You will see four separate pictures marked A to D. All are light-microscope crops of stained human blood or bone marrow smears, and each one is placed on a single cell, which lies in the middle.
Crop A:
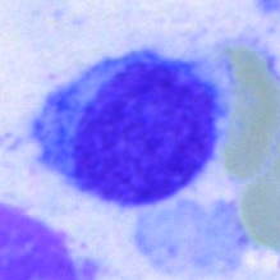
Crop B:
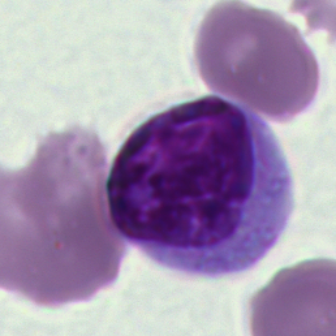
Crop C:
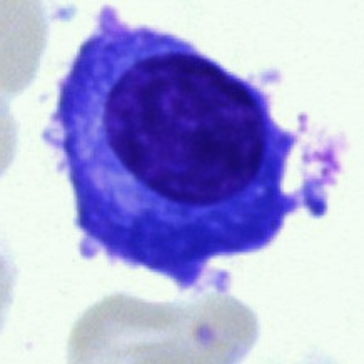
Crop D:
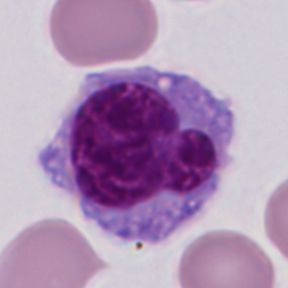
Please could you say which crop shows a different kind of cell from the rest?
A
